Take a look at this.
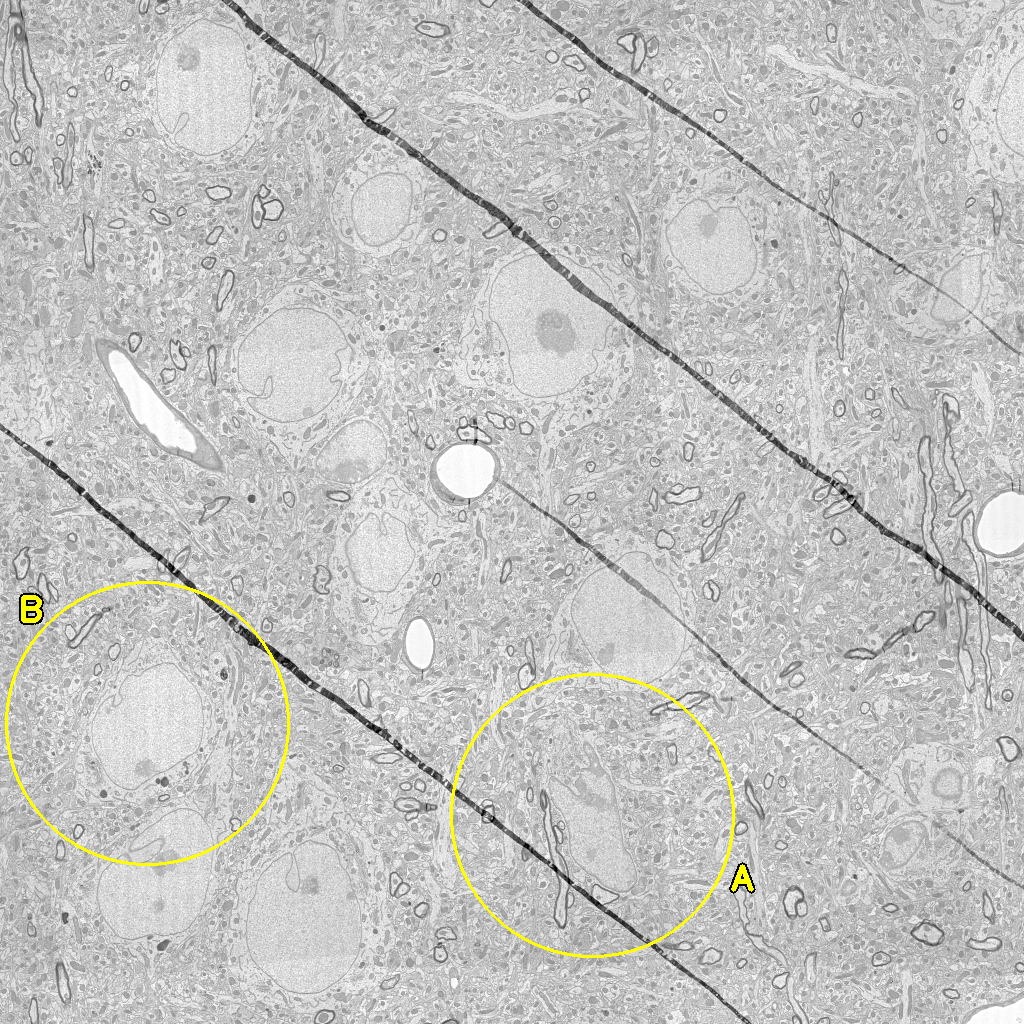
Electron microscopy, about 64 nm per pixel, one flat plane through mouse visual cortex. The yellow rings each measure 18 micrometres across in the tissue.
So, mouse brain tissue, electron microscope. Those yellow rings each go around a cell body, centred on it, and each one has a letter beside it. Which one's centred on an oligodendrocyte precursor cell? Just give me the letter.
A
